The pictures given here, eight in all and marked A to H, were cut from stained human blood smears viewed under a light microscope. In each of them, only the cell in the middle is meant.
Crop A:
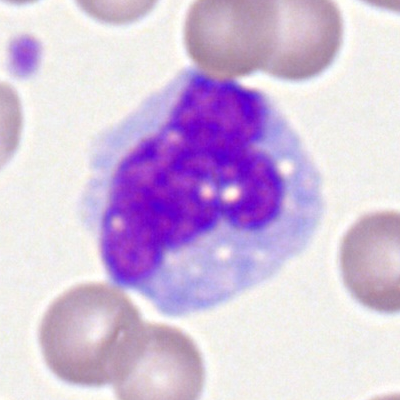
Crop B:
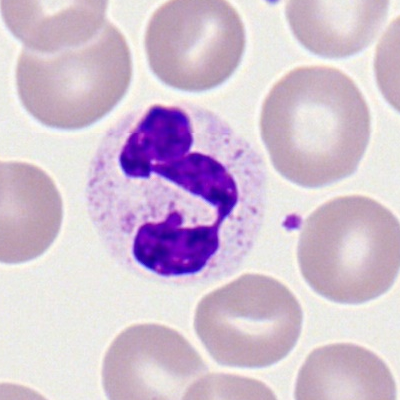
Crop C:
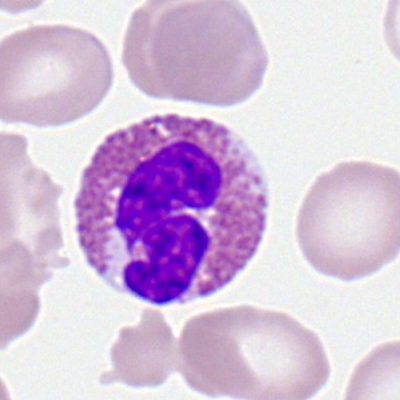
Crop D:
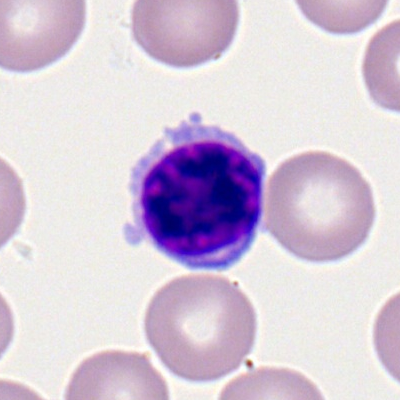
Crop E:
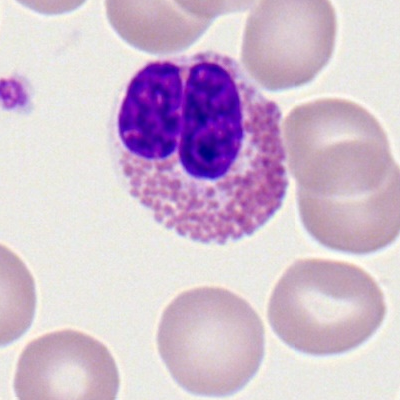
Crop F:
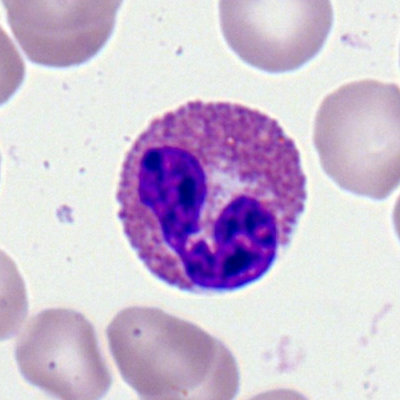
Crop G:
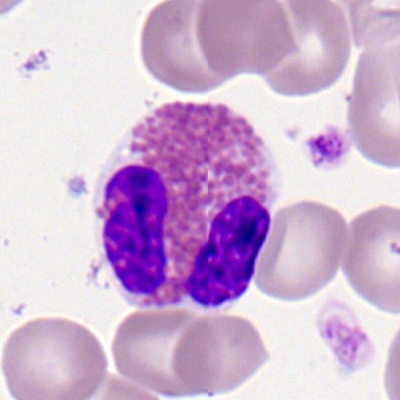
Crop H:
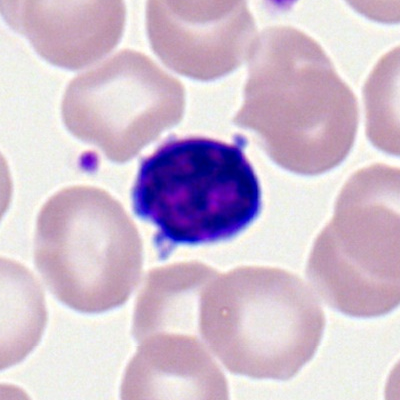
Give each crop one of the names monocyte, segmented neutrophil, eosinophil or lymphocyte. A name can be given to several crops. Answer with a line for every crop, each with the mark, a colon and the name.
A: monocyte
B: segmented neutrophil
C: eosinophil
D: lymphocyte
E: eosinophil
F: eosinophil
G: eosinophil
H: lymphocyte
